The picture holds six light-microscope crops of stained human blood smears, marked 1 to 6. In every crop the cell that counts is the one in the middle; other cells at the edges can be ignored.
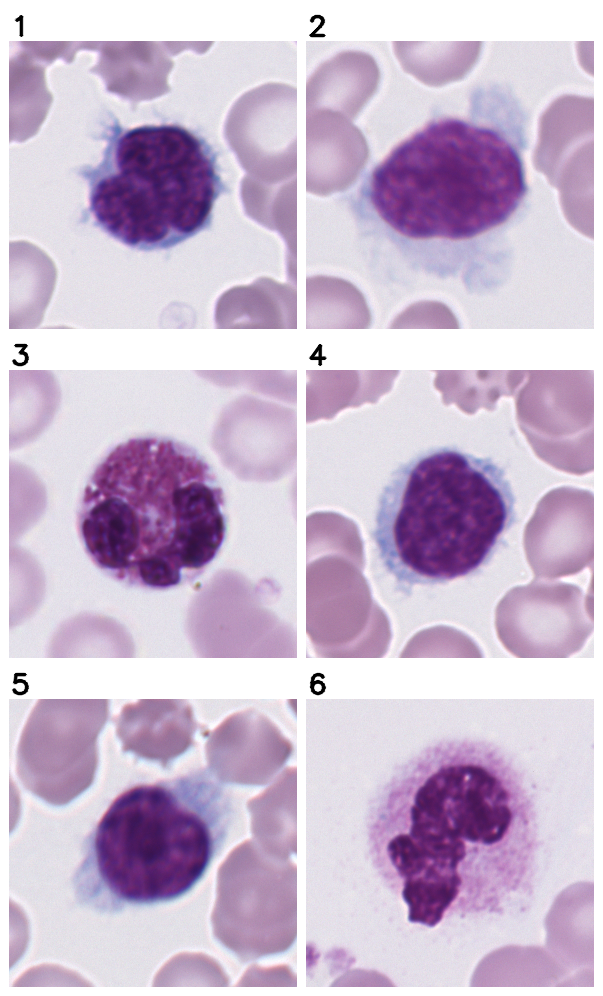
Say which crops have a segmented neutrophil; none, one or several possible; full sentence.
By crop 6 alone is a segmented neutrophil shown.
